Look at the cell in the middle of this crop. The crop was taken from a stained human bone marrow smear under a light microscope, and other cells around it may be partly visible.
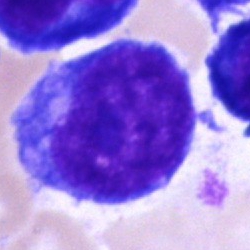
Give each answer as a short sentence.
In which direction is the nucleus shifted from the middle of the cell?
Toward the right of the cell lies its nucleus.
